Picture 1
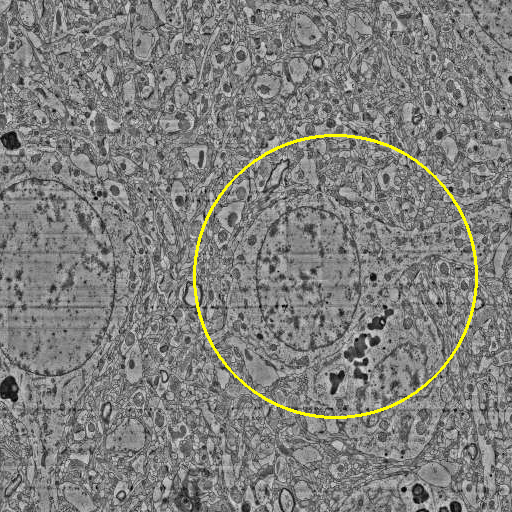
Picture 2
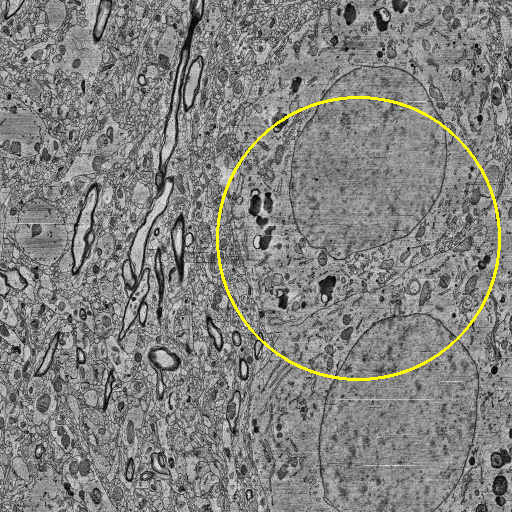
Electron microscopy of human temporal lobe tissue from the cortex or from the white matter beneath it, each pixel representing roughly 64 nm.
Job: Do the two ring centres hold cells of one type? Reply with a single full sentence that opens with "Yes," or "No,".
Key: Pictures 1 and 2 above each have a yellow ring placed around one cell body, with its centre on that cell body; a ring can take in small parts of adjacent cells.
Yes, the cells at the two ring centres are of one single type.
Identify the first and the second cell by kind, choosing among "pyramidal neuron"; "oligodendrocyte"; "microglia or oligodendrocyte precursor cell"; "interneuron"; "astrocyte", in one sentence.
Both pictures show a pyramidal neuron at the centre of the ring.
